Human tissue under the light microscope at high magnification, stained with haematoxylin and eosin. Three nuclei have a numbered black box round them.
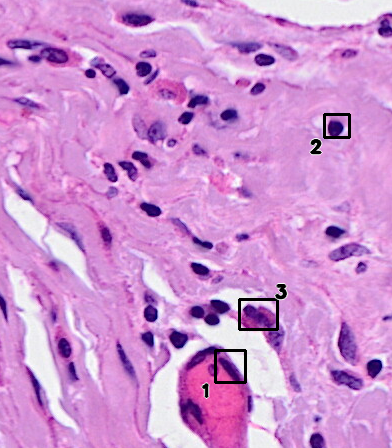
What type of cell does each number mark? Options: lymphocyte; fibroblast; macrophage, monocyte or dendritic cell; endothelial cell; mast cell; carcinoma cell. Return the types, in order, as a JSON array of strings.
["endothelial cell", "lymphocyte", "mast cell"]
